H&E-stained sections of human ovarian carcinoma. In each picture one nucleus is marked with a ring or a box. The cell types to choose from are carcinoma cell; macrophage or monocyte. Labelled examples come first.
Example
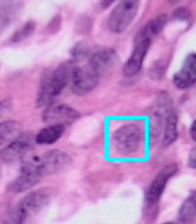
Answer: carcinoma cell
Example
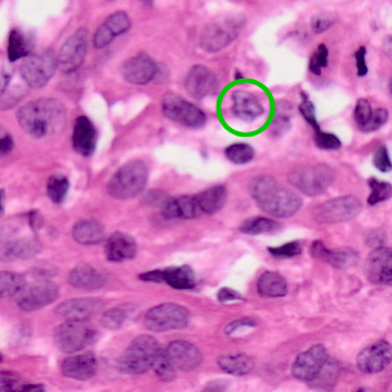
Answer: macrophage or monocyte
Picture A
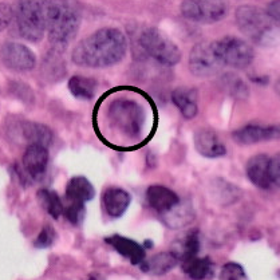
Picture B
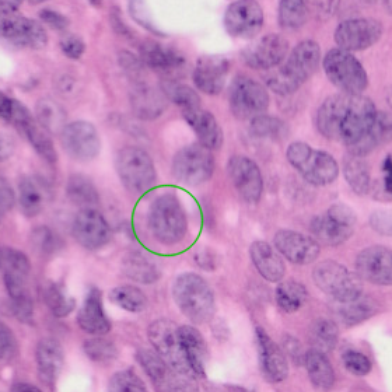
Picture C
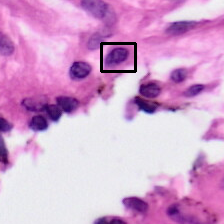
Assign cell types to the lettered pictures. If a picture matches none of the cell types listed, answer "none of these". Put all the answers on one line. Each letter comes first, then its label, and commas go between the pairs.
A carcinoma cell, B carcinoma cell, C macrophage or monocyte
